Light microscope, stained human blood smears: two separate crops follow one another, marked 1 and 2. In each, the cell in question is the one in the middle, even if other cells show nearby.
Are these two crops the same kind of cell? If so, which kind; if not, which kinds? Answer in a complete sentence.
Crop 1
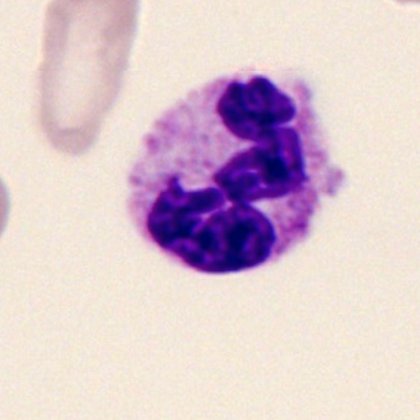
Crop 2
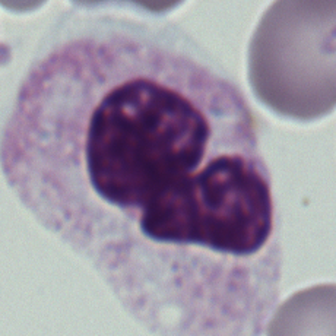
Yes, the central cells in both of the crops are neutrophils.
